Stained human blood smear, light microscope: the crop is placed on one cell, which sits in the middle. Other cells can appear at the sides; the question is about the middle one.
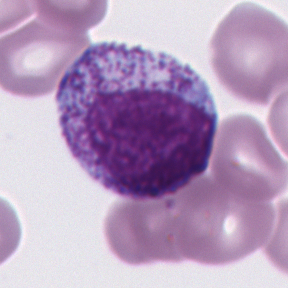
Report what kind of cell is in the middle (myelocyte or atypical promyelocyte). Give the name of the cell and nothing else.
myelocyte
